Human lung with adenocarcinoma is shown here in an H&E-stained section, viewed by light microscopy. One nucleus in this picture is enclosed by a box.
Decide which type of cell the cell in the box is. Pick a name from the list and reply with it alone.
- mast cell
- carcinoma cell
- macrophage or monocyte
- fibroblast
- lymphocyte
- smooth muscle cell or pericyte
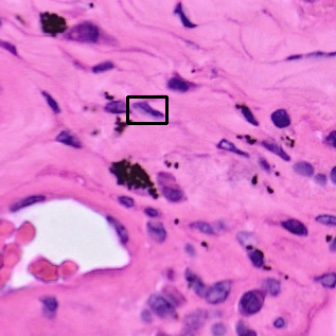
fibroblast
